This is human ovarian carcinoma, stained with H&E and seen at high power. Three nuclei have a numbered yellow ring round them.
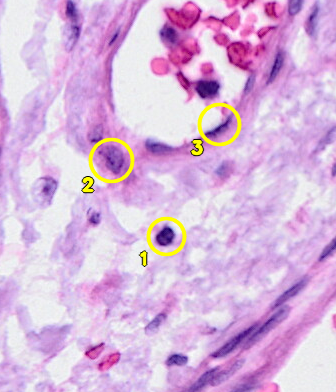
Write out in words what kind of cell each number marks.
Cell 1 is a lymphocyte. Cells 2 and 3 are endothelial cells.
